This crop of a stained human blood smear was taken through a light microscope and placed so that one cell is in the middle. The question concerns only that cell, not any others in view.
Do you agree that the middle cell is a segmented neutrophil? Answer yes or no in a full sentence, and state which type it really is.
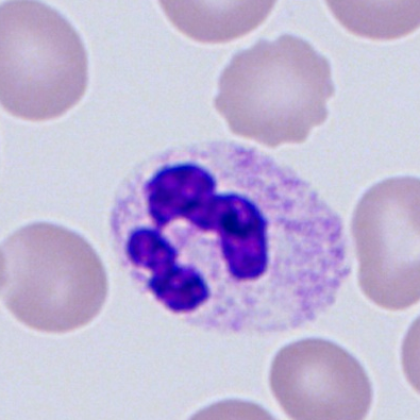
Yes, the cell at the centre of this crop is identified as a segmented neutrophil.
